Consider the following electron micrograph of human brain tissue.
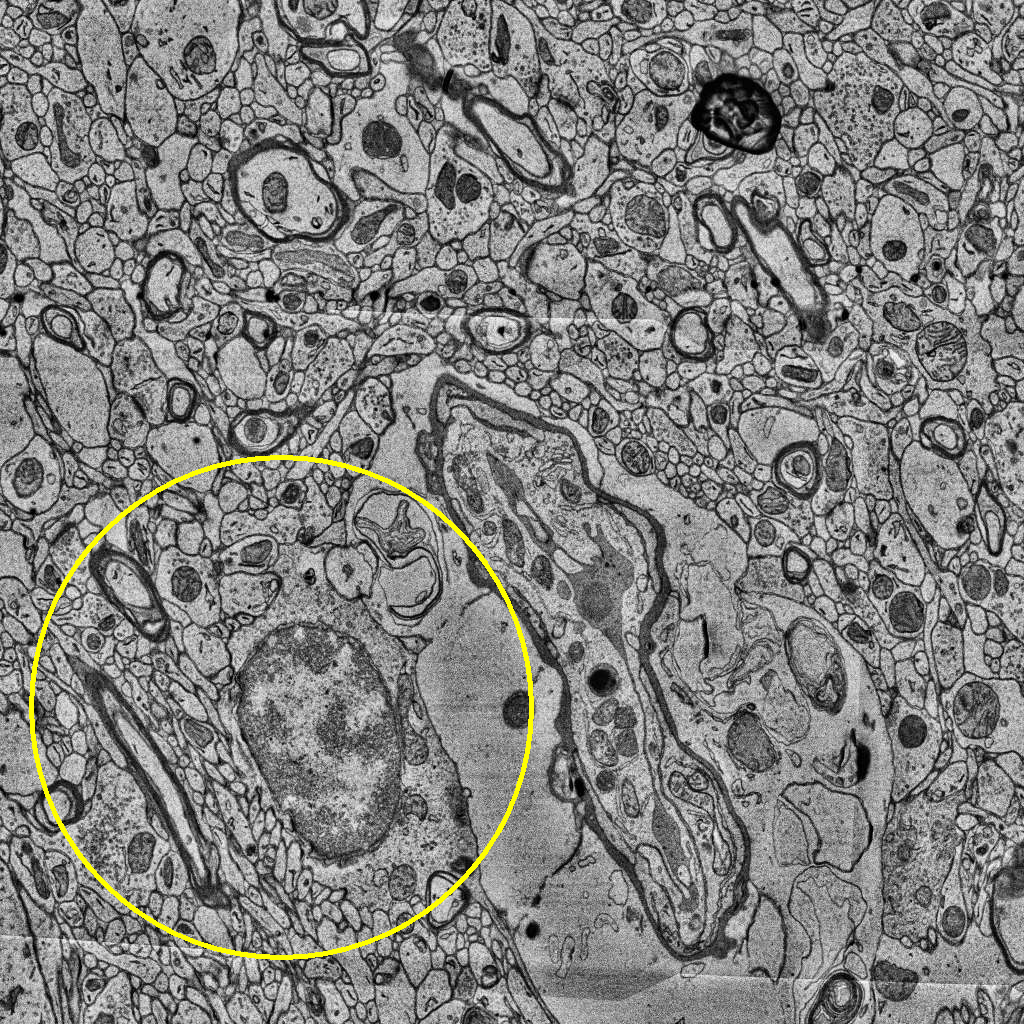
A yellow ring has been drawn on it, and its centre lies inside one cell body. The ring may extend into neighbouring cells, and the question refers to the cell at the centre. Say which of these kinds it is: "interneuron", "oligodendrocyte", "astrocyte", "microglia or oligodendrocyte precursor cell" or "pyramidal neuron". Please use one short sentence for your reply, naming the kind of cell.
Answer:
The centre of the ring falls on an oligodendrocyte.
